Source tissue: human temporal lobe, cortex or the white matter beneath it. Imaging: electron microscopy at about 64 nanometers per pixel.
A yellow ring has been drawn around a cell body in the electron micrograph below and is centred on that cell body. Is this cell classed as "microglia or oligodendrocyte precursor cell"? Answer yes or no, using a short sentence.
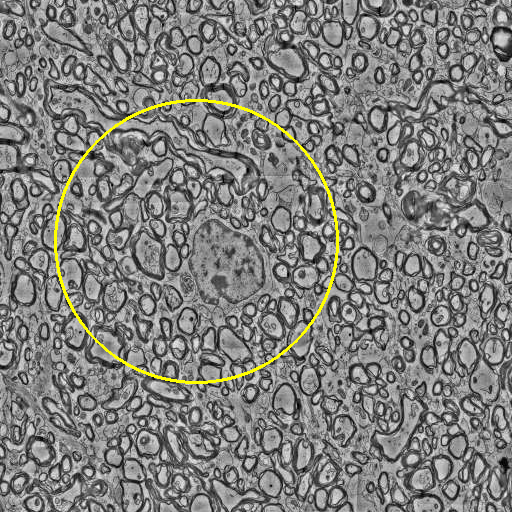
Yes, it is classed as that kind.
